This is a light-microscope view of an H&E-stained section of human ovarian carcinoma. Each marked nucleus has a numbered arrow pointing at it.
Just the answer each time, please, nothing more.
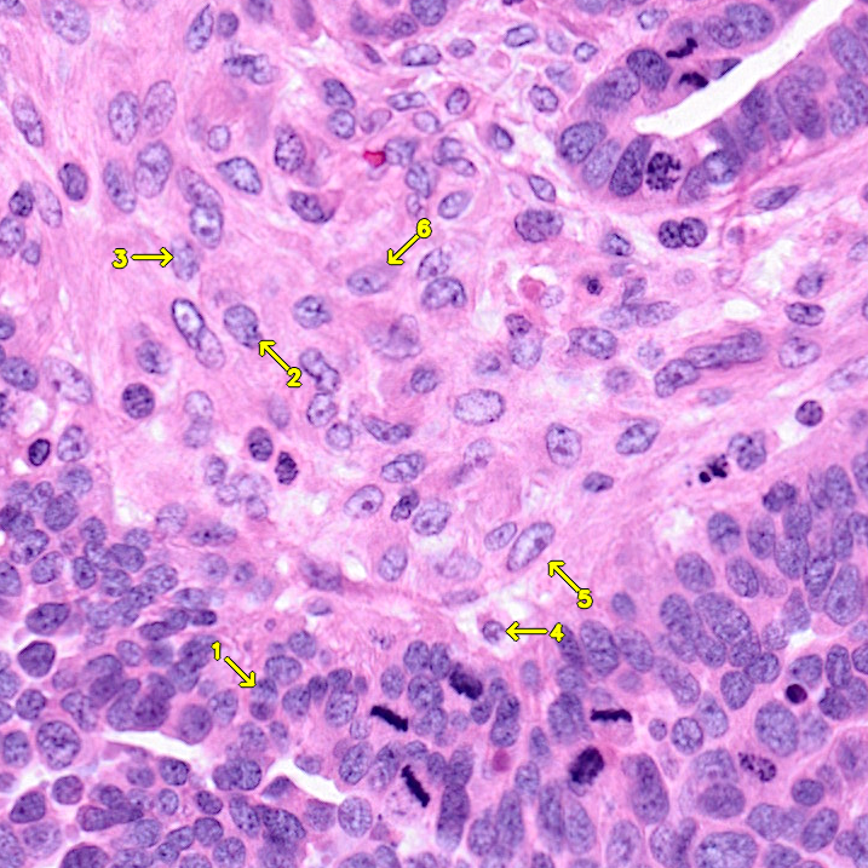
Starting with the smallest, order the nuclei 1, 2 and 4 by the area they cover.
4, 1, 2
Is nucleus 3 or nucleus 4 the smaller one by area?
4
